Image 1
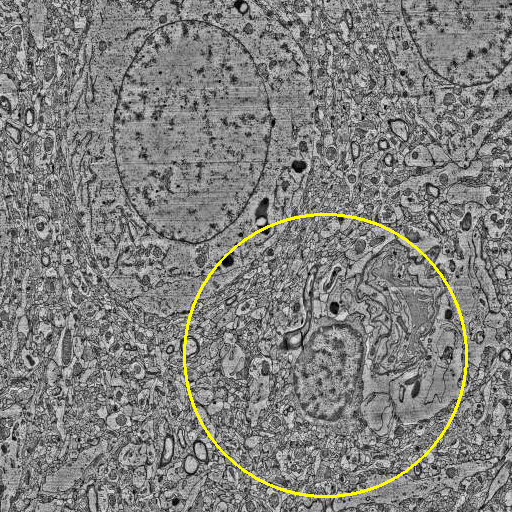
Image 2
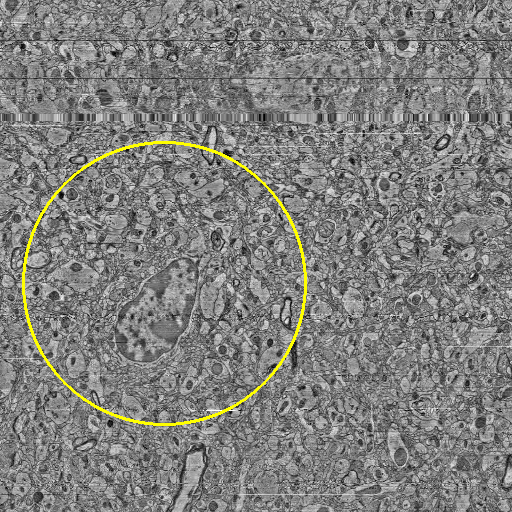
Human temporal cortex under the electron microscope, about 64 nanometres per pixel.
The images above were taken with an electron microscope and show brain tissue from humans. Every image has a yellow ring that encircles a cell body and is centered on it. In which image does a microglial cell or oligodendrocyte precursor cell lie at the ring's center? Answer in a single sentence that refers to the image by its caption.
In Image 2, the cell at the center of the yellow ring is the correct match.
